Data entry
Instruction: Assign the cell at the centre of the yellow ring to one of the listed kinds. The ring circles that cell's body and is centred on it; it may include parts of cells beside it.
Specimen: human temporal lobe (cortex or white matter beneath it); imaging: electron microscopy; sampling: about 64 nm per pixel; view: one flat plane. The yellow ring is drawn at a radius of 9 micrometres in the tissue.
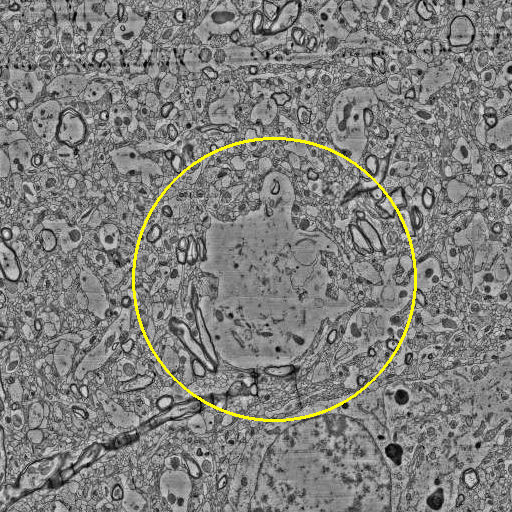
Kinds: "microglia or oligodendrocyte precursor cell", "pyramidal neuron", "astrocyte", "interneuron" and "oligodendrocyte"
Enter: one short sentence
The centre of the ring falls on an astrocyte.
